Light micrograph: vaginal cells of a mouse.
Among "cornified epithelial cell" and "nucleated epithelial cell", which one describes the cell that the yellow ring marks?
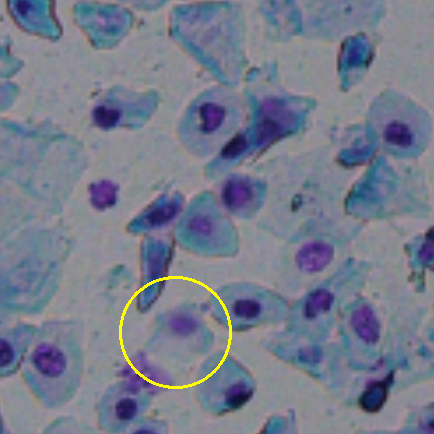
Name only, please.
nucleated epithelial cell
